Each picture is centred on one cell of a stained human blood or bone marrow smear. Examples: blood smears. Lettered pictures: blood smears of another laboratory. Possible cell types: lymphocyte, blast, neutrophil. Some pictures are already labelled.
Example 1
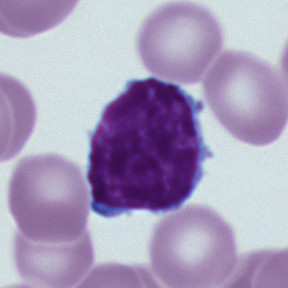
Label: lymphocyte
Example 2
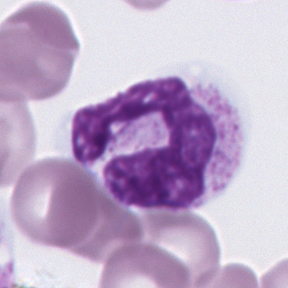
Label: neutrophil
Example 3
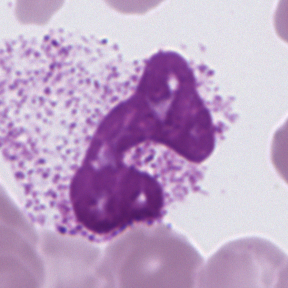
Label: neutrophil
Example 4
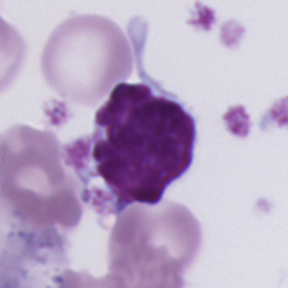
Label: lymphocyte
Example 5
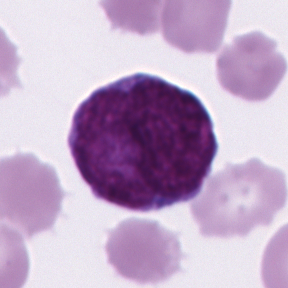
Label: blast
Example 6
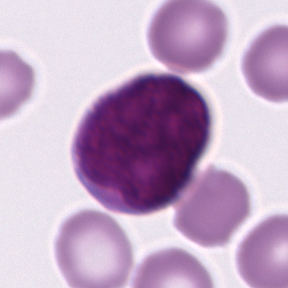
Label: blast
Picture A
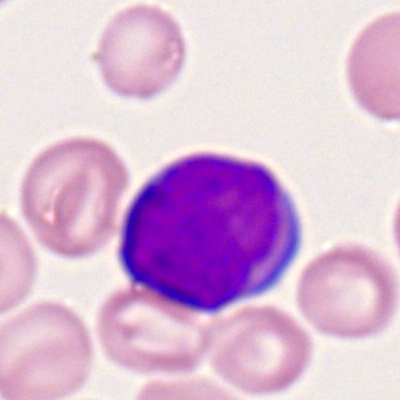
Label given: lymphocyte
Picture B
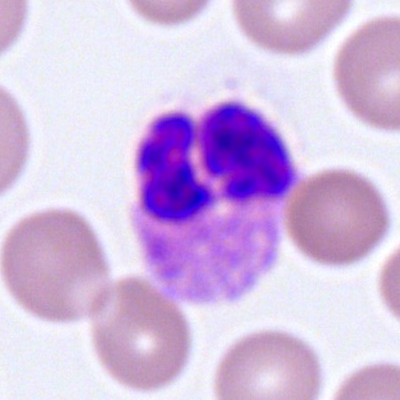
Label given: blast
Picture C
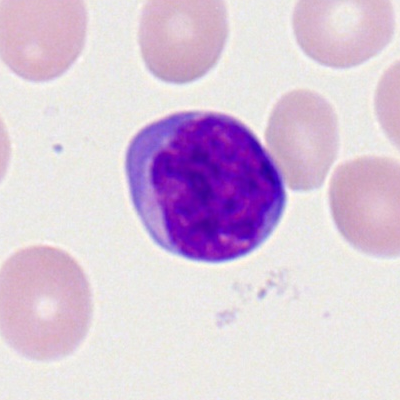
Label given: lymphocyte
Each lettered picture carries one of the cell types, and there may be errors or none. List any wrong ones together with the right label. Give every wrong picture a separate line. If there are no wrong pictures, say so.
Wrong: A (lymphocyte); correct: blast
Wrong: B (blast); correct: neutrophil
